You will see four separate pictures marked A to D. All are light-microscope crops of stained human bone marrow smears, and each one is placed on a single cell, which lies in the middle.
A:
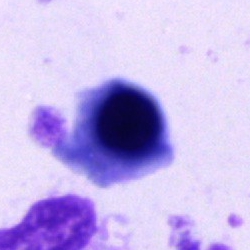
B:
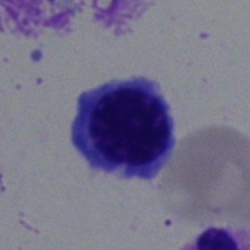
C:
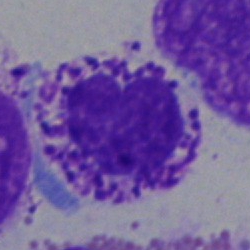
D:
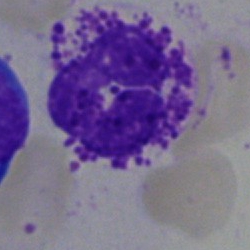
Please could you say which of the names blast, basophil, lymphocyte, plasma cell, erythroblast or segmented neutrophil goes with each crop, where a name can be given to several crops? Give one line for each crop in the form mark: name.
A: erythroblast
B: erythroblast
C: basophil
D: basophil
